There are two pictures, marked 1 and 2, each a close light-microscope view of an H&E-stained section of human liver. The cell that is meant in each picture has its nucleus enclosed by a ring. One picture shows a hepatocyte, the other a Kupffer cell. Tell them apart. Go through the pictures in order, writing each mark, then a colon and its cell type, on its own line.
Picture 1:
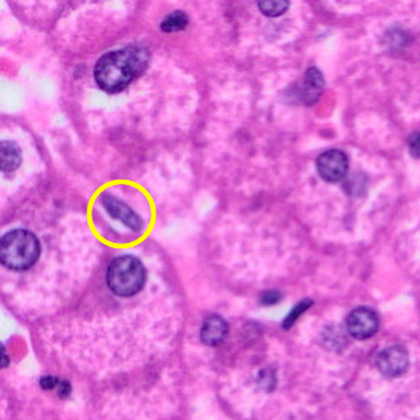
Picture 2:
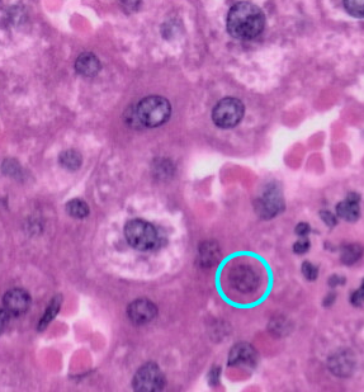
1: Kupffer cell
2: hepatocyte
